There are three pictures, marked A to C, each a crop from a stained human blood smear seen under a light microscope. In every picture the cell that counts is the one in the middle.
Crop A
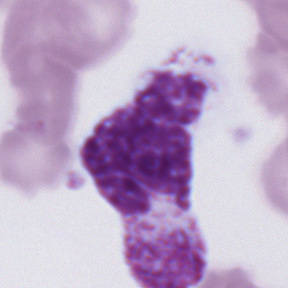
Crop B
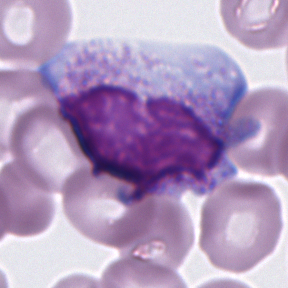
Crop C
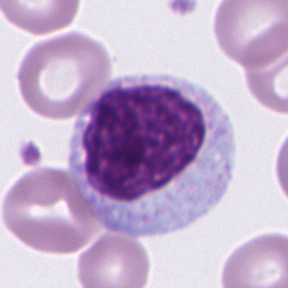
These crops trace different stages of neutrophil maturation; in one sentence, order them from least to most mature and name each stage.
In order from least mature to most mature, the crops stand crop B (a promyelocyte), crop C (a metamyelocyte) and crop A (a segmented neutrophil).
